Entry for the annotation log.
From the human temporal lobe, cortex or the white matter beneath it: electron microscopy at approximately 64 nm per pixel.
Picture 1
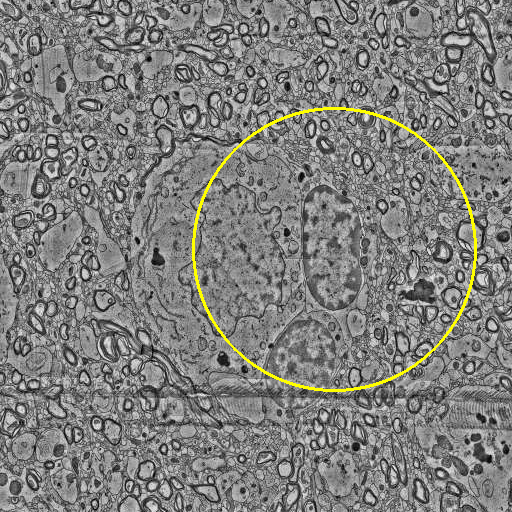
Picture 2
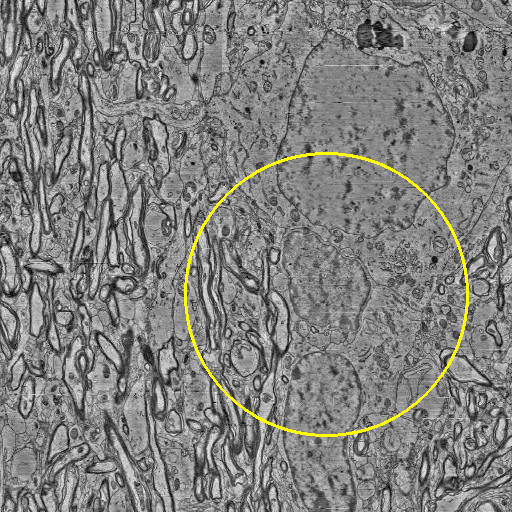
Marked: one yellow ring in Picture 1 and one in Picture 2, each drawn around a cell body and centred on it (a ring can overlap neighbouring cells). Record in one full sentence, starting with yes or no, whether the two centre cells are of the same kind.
No, the two cells are of two kinds.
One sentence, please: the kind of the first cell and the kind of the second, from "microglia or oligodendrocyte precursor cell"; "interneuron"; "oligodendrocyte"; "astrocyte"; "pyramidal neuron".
The ring in the first picture surrounds a microglial cell or oligodendrocyte precursor cell, and the ring in the second surrounds an oligodendrocyte.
